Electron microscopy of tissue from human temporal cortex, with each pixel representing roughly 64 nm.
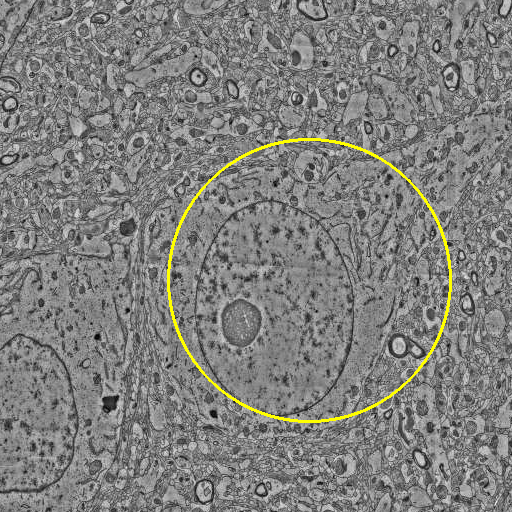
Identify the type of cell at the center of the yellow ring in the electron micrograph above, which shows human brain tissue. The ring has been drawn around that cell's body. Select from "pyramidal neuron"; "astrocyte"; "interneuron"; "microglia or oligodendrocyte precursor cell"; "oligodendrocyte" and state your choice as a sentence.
The yellow ring is centered on the body of a pyramidal neuron.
